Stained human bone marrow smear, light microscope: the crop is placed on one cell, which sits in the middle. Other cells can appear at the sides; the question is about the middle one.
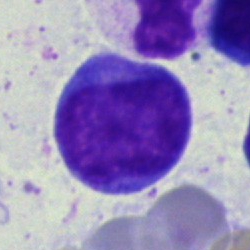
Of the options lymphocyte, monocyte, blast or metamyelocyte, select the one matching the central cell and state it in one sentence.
In the middle of this smear crop is a blast.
